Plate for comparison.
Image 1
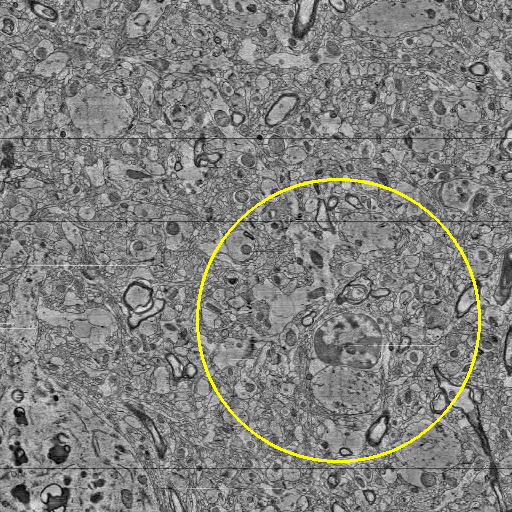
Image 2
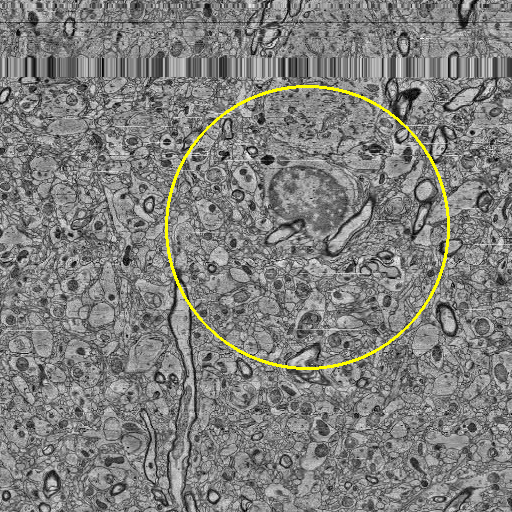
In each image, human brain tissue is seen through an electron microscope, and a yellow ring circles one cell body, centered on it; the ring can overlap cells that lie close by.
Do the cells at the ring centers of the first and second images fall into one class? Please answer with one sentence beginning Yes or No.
No, the first and second images show two classes of cell at the ring centers.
